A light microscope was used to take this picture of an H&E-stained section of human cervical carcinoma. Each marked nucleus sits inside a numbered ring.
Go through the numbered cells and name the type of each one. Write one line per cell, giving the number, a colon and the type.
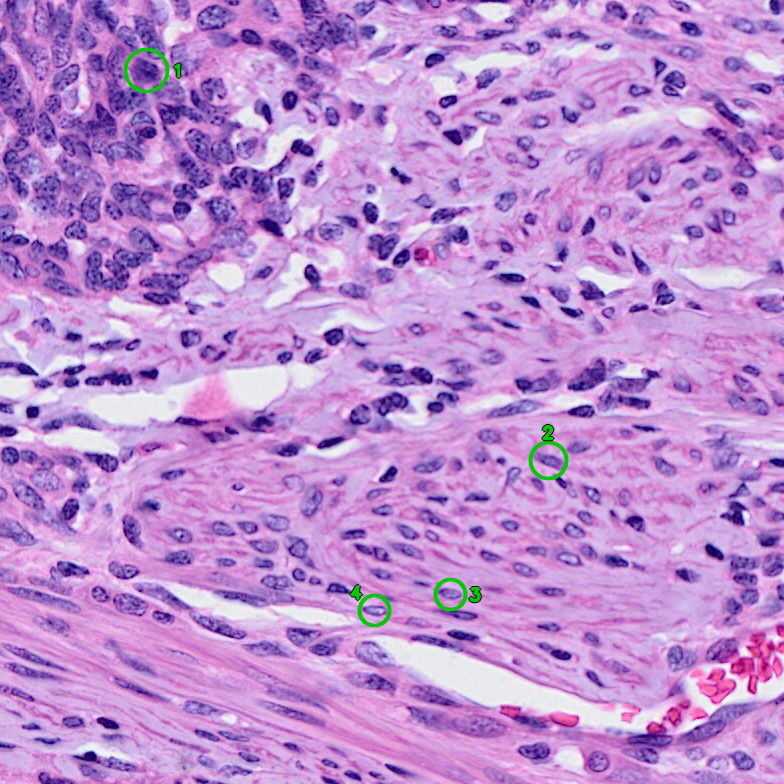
1: squamous carcinoma cell
2: smooth muscle cell
3: smooth muscle cell
4: smooth muscle cell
